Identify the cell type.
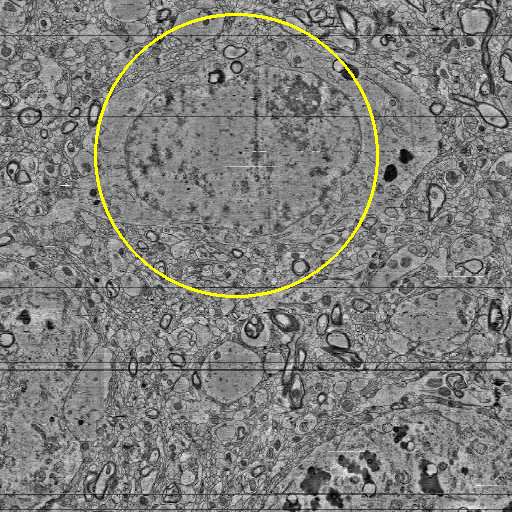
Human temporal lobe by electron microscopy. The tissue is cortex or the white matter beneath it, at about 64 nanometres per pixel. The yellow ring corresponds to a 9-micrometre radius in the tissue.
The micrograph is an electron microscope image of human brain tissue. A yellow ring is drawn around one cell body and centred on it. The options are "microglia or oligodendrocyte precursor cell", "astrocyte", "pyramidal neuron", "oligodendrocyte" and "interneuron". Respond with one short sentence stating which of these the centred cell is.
The cell body in the ring belongs to an interneuron.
